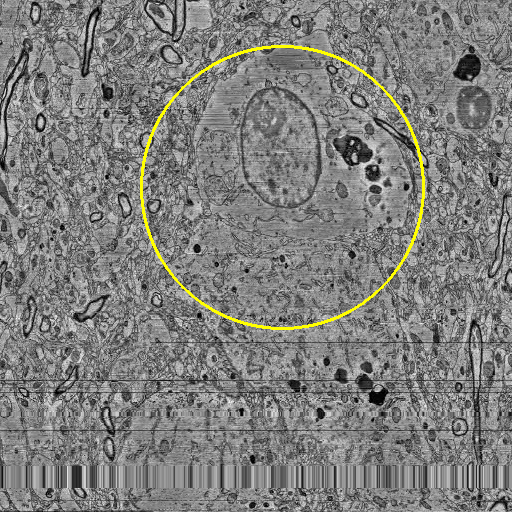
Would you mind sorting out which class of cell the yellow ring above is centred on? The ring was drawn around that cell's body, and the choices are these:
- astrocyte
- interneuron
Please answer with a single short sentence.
This is the cell body of an astrocyte.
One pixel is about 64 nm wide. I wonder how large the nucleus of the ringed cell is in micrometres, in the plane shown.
In this plane the nucleus is clearly longer than it is wide: roughly 8 by 5 micrometres.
